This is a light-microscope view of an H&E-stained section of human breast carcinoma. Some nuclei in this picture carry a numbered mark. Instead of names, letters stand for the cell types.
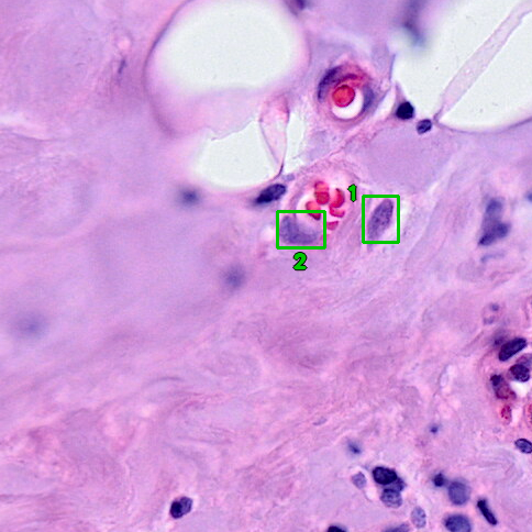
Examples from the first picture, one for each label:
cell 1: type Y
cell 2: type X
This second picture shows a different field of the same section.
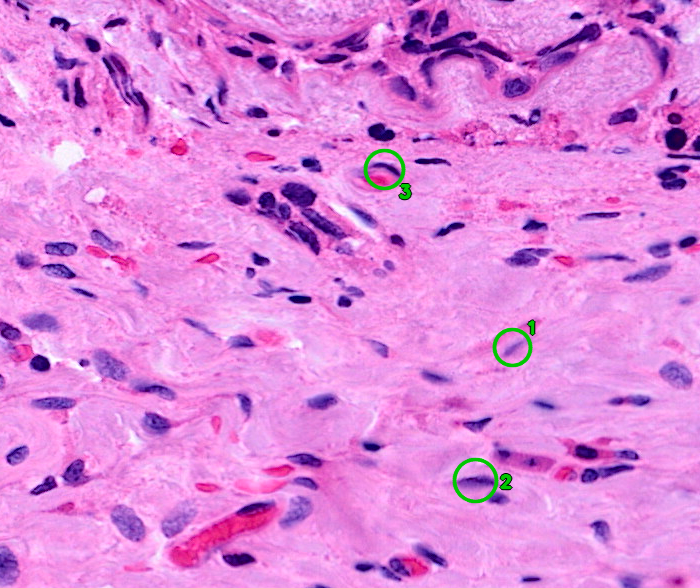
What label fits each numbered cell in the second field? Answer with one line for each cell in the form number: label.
1: type Y
2: type Y
3: type X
